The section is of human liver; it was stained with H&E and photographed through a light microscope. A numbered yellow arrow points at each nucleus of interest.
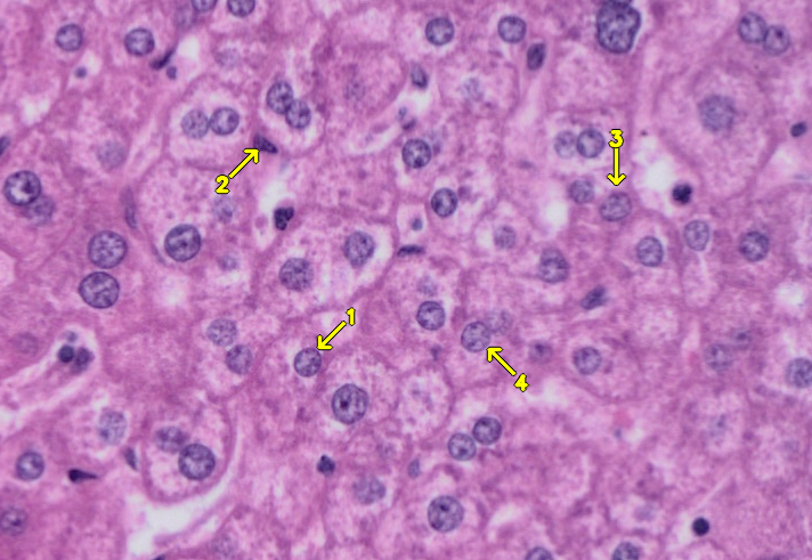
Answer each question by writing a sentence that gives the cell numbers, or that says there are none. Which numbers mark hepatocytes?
Within this tissue, the cells numbered 1, 3 and 4 are hepatocytes.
